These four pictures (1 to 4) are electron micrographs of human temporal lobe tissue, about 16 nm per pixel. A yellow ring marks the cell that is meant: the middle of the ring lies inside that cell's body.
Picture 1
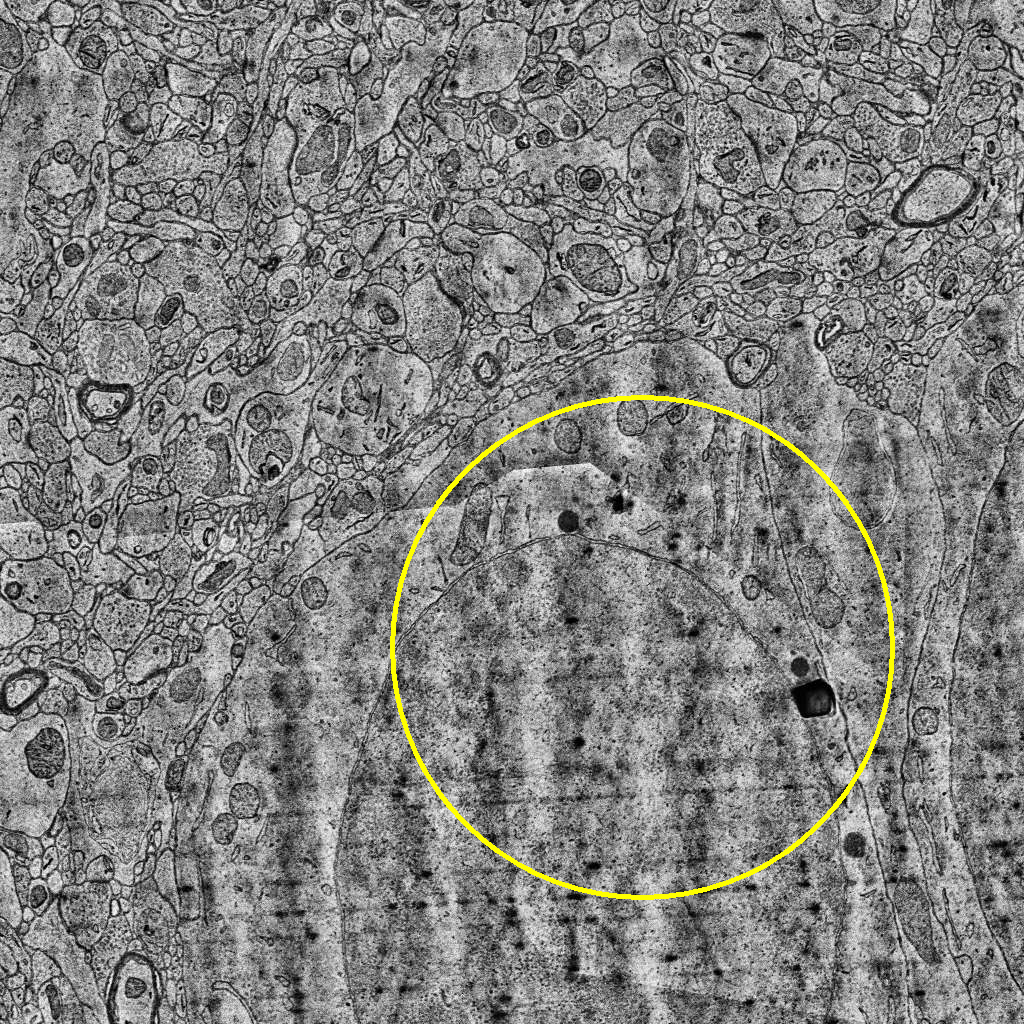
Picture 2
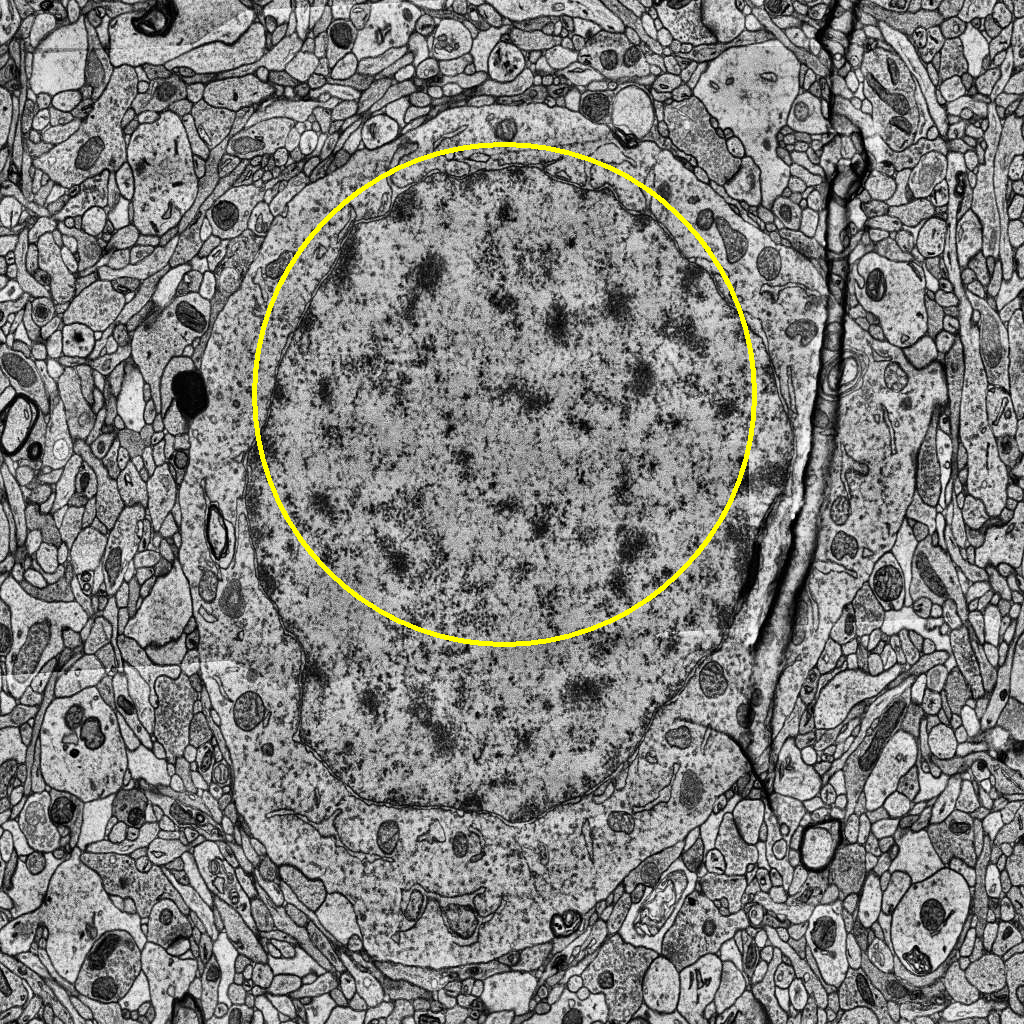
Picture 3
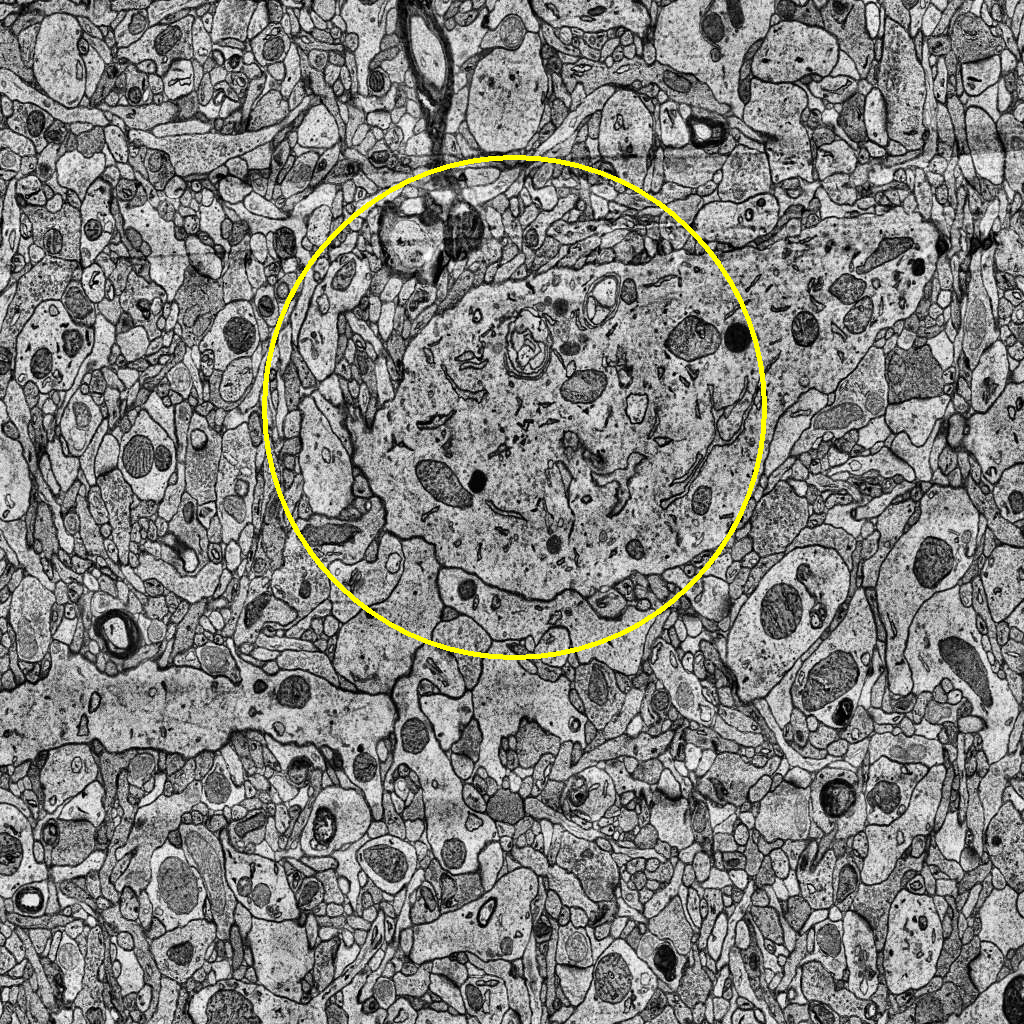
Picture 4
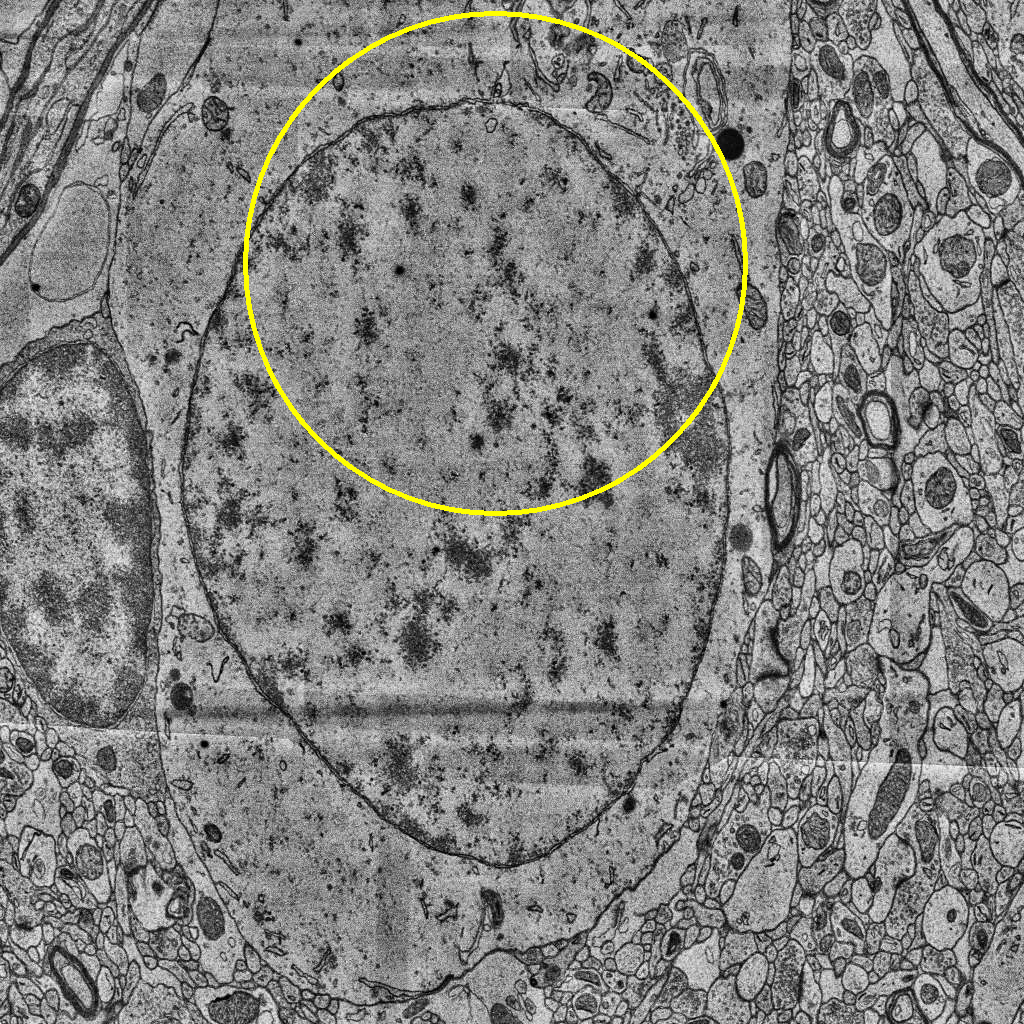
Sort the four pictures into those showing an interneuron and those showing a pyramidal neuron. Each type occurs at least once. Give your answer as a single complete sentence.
Pictures 2 and 3 show interneurons; pictures 1 and 4 show pyramidal neurons.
